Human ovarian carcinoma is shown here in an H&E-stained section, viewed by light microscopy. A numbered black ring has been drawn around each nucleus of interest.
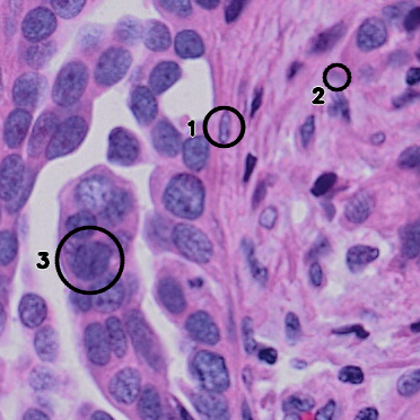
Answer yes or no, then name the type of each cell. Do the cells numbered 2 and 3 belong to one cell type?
No, the cell numbered 2 is a fibroblast and the cell numbered 3 is a carcinoma cell.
